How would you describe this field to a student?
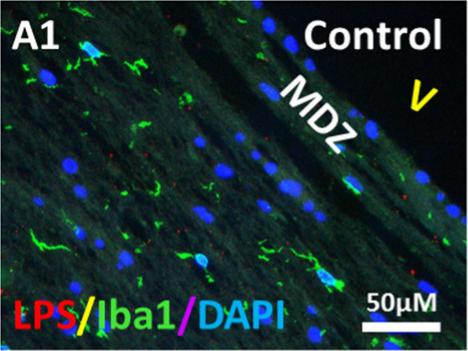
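This is white matter beside the ventricle, with scattered microglia picked out in green. The tissue runs in streaks diagonally across the field, and the blue nuclei are mostly oval and lined up along that direction, in loose rows. The green cells are few; each has a small body from which thin, wavy, branching processes extend a short way through the tissue. Some green bodies sit right against a blue nucleus. Red is almost absent, with only a few tiny specks. The ventricle edge lies toward the upper right, where the nuclei crowd along the border.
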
